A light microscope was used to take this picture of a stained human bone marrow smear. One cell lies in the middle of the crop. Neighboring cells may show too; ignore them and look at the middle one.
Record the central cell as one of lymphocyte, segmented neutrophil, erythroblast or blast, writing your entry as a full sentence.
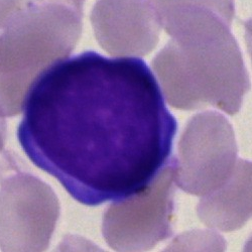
The centrally located cell in the crop is a blast.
